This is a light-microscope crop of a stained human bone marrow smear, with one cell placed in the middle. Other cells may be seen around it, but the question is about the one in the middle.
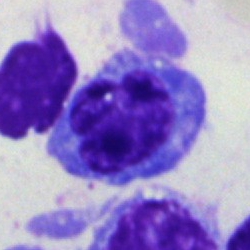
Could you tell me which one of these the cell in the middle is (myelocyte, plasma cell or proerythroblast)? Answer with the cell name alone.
plasma cell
